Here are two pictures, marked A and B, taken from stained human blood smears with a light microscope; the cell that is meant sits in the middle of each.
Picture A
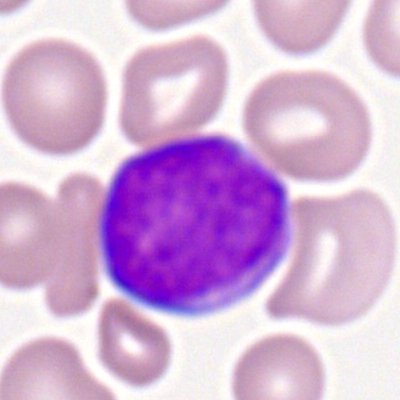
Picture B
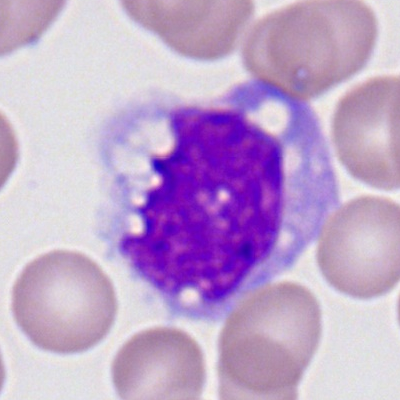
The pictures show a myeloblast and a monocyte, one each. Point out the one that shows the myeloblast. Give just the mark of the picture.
A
